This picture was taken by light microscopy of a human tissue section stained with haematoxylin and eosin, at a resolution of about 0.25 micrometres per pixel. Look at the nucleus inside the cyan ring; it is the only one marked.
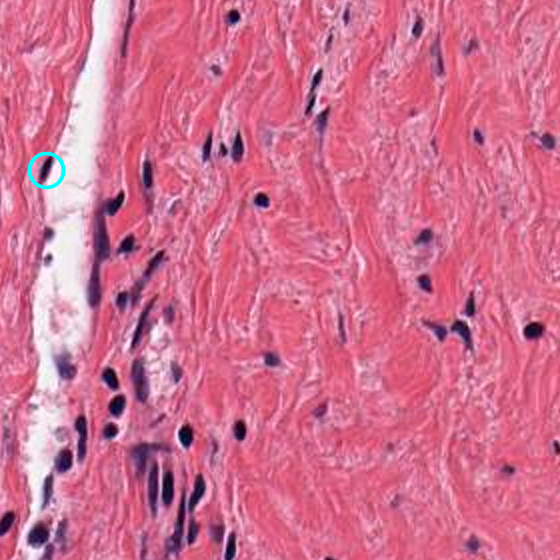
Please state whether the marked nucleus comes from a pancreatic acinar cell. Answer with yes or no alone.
no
